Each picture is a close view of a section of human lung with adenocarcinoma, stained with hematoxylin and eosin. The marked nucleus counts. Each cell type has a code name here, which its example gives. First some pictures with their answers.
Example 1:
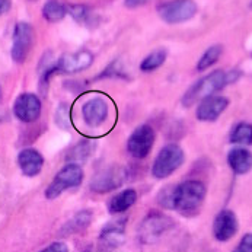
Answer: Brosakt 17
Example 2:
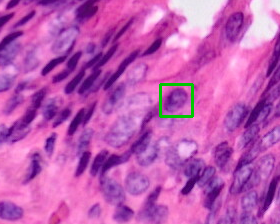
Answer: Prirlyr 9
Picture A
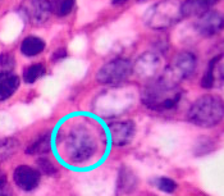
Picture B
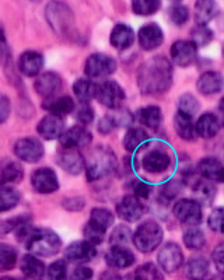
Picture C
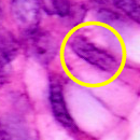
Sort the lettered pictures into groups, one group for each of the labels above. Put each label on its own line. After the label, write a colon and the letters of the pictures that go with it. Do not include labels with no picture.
Brosakt 17: B
Prirlyr 9: A, C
